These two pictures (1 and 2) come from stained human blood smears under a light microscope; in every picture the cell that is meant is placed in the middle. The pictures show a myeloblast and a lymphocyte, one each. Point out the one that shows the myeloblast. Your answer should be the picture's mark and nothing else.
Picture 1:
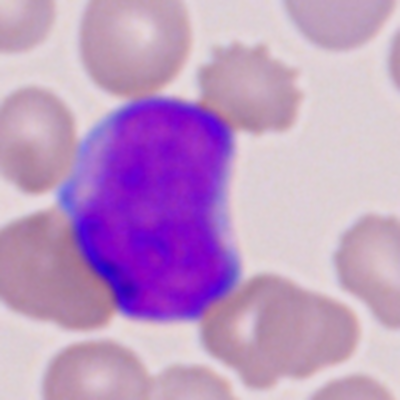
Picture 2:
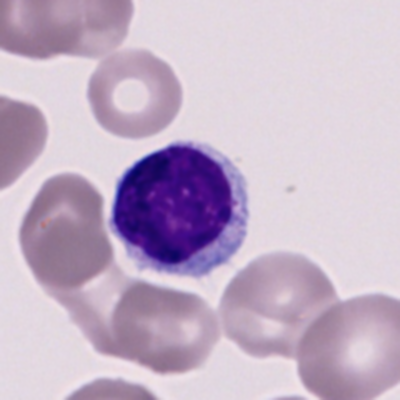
1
